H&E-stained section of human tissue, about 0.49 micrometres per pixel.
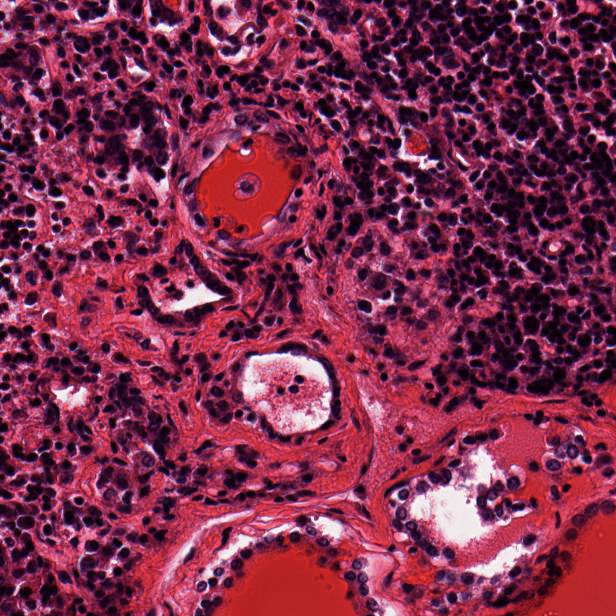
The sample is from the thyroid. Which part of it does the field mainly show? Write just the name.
lymphoid tissue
